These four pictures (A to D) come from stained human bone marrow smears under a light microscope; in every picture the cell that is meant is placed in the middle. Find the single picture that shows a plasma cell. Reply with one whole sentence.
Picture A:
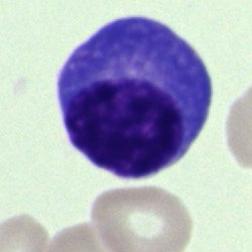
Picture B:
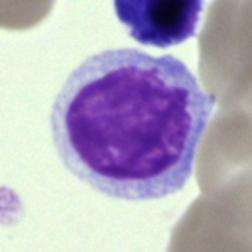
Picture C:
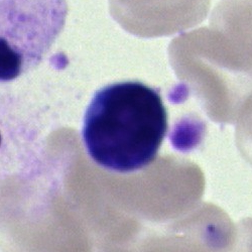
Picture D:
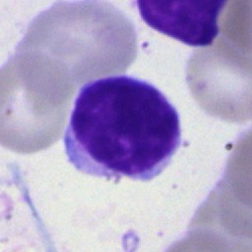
The plasma cell is the one in picture A.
